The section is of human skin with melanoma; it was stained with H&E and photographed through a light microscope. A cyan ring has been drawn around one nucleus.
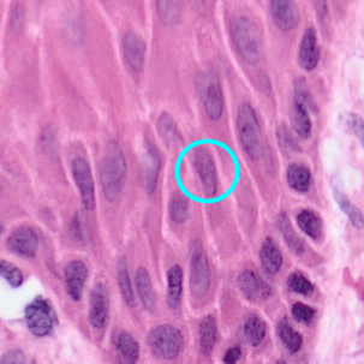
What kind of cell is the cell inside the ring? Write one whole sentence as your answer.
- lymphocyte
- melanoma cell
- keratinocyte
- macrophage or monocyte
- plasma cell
The category to which the cell inside the ring belongs is that of a keratinocyte.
